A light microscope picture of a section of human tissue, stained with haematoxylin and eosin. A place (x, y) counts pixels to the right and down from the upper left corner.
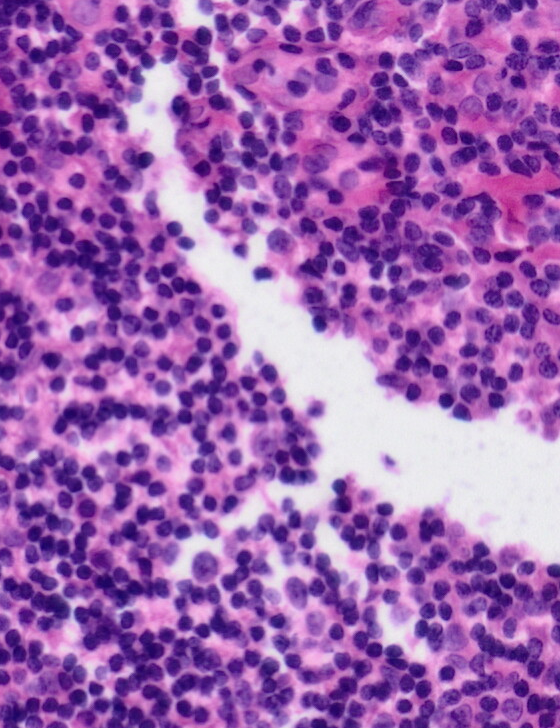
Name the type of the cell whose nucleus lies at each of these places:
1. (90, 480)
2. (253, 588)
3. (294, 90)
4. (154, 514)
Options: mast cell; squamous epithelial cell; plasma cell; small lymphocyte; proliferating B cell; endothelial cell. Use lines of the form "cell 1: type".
cell 1: small lymphocyte
cell 2: small lymphocyte
cell 3: endothelial cell
cell 4: small lymphocyte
